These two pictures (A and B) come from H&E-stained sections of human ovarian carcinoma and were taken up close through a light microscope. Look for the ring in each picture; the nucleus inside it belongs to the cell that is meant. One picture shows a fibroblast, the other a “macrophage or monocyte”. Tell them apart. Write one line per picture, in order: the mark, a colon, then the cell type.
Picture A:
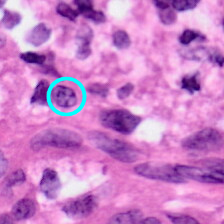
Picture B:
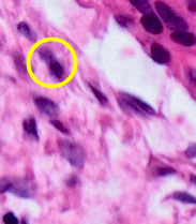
A: macrophage or monocyte
B: fibroblast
